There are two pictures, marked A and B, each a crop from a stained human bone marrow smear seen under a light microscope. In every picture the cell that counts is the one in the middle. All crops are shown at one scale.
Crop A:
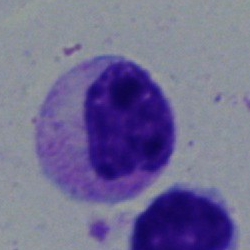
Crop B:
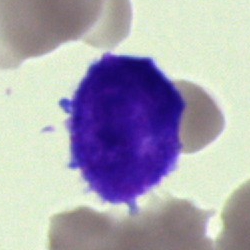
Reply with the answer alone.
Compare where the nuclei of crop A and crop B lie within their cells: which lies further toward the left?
B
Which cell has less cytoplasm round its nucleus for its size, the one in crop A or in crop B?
B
